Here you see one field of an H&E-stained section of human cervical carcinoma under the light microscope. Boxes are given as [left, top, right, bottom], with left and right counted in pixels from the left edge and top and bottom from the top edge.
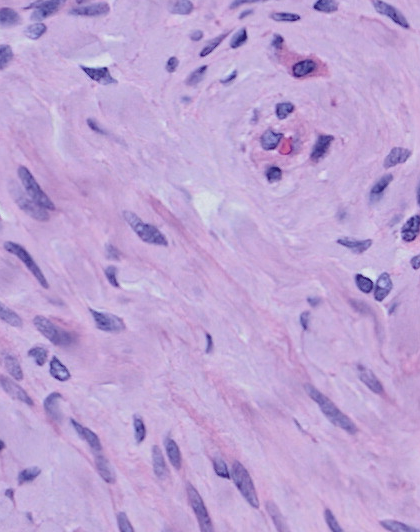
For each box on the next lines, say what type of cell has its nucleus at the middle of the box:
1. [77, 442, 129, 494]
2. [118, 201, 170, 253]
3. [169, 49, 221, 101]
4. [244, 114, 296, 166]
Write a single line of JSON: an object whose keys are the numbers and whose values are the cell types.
{"1": "smooth muscle cell", "2": "fibroblast", "3": "fibroblast", "4": "endothelial cell"}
